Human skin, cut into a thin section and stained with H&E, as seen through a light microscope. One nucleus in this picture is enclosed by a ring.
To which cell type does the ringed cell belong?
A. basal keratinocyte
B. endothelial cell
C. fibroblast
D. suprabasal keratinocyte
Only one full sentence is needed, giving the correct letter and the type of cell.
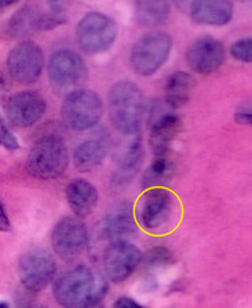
Option A is the correct one: the ringed cell is a basal keratinocyte.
